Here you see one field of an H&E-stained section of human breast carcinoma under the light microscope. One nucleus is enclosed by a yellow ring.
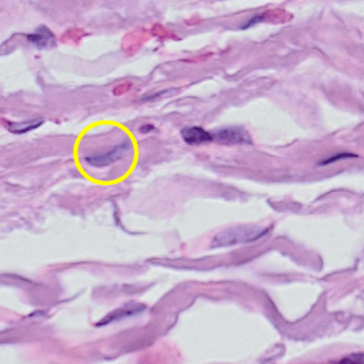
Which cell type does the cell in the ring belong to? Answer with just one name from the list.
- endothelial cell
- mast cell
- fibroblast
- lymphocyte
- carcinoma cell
fibroblast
